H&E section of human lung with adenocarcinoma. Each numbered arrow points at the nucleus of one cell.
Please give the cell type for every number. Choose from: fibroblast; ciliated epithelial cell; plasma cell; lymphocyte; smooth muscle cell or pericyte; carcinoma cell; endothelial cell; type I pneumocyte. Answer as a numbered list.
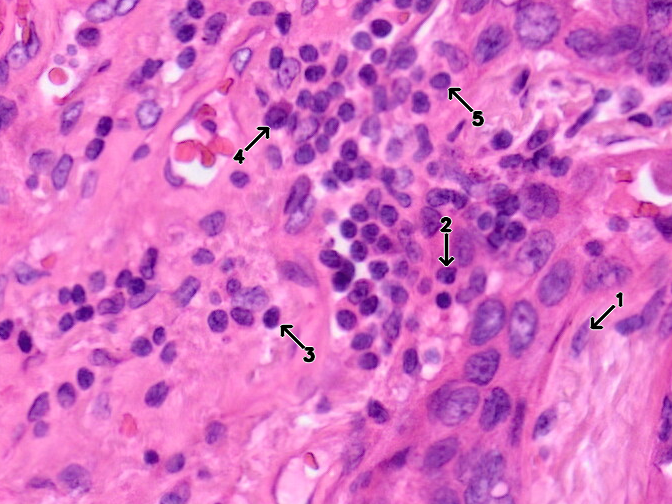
1. fibroblast
2. lymphocyte
3. lymphocyte
4. plasma cell
5. lymphocyte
